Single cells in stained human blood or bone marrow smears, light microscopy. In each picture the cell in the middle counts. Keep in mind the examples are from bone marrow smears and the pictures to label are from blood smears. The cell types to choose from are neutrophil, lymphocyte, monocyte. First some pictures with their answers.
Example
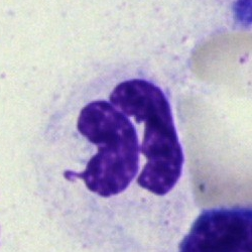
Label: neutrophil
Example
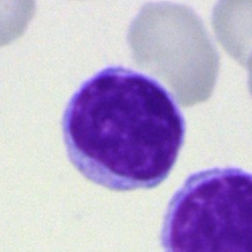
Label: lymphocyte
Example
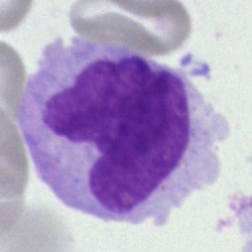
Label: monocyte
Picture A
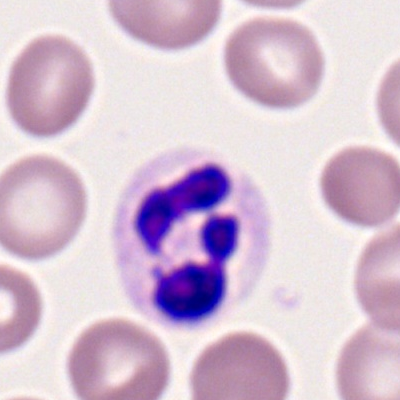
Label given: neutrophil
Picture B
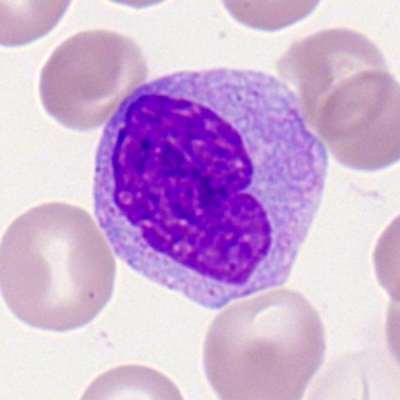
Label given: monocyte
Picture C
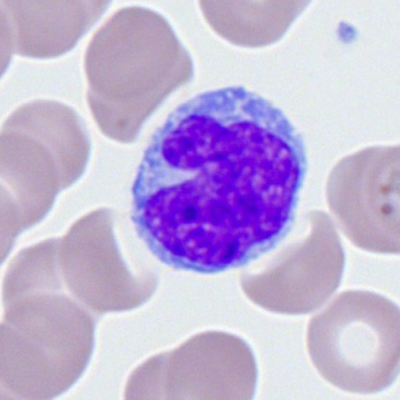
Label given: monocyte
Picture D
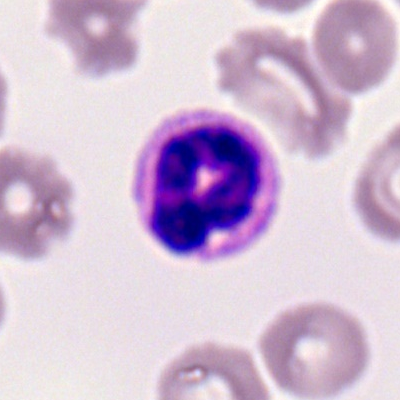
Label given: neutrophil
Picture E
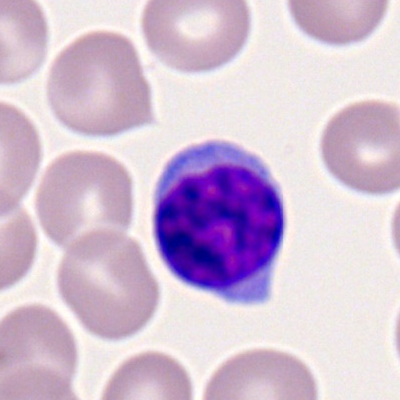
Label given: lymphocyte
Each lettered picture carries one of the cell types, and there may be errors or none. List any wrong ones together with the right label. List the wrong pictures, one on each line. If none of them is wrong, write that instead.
All correct.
